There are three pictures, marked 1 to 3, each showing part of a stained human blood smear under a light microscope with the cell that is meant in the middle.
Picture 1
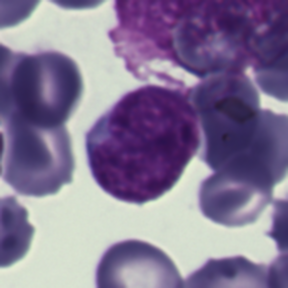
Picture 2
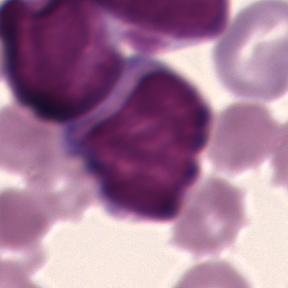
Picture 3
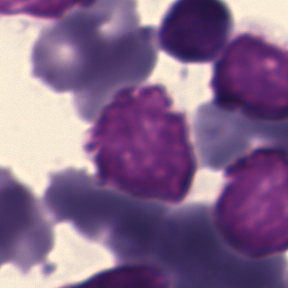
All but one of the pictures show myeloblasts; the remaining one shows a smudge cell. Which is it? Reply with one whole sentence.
It is picture 3 that shows the smudge cell.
